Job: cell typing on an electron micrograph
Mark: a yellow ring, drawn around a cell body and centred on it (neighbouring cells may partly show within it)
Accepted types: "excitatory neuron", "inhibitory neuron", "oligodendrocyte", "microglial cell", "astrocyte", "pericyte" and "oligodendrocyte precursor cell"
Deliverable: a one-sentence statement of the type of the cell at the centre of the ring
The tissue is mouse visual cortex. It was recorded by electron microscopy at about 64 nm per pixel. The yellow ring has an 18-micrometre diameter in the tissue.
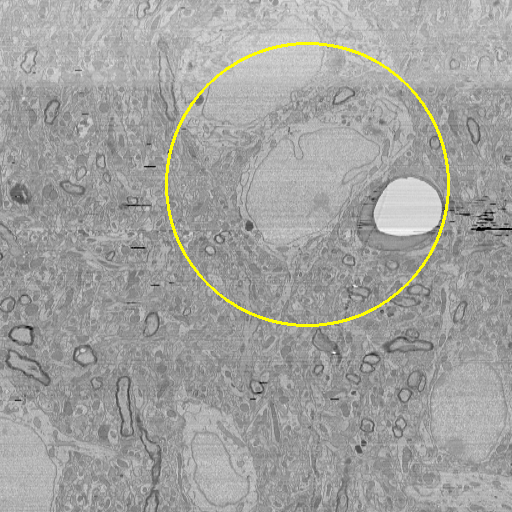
The centred cell body is that of an excitatory neuron.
